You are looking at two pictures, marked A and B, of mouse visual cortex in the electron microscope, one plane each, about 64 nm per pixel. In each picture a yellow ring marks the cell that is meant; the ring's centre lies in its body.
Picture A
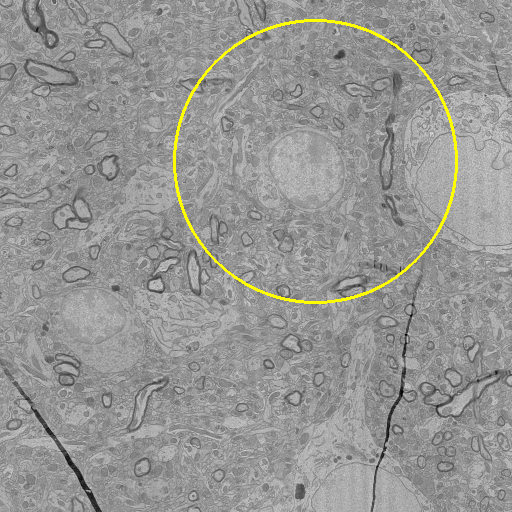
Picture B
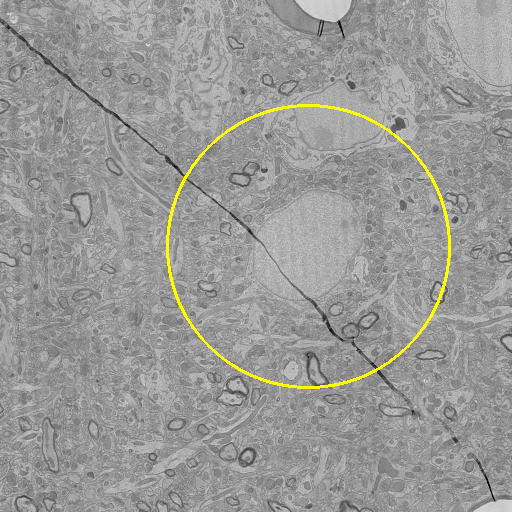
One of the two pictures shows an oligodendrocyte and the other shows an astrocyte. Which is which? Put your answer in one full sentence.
Picture B shows an astrocyte, while picture A shows an oligodendrocyte.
